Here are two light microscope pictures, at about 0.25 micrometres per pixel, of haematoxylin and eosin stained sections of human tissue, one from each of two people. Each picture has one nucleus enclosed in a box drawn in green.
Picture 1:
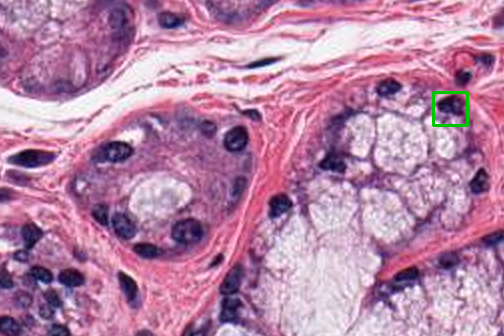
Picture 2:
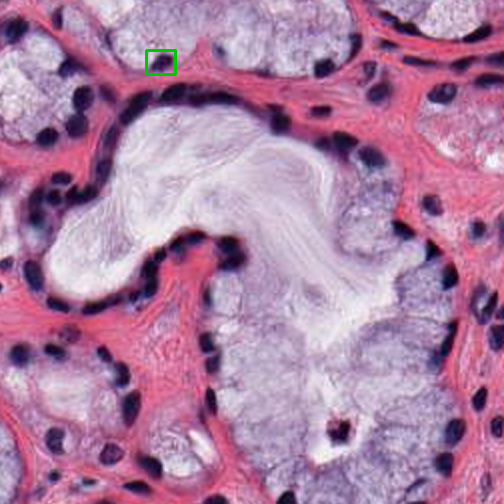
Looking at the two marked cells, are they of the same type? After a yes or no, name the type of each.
Yes, both are mucous gland cells.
